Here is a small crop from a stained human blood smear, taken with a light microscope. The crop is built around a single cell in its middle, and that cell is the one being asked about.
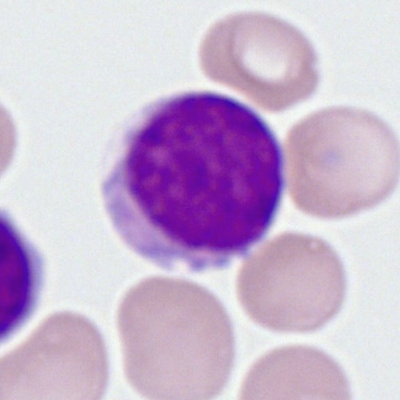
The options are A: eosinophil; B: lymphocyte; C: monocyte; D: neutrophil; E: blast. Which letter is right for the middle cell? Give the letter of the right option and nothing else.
B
